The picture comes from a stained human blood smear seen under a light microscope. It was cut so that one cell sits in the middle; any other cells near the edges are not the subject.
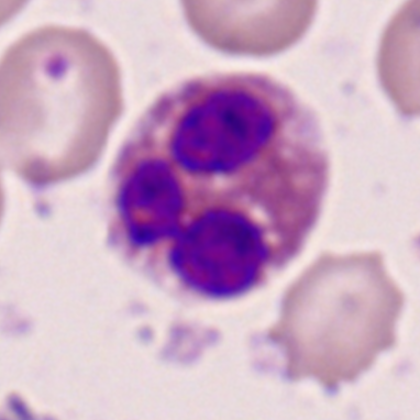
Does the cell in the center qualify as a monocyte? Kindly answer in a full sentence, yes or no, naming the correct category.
No, the central cell is an eosinophil; it should not be labelled a monocyte.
